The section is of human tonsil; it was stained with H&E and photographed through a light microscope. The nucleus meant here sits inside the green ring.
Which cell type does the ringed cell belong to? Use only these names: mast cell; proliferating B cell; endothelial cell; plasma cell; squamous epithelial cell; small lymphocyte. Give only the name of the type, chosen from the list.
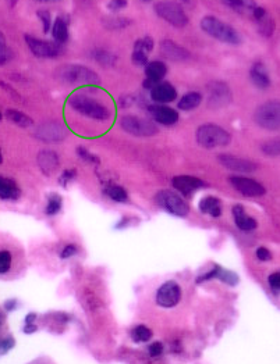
squamous epithelial cell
